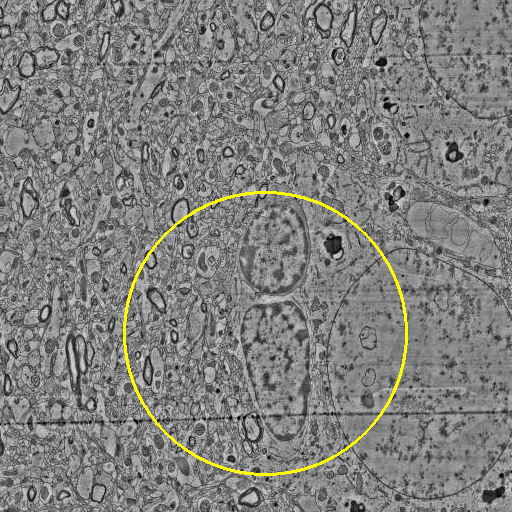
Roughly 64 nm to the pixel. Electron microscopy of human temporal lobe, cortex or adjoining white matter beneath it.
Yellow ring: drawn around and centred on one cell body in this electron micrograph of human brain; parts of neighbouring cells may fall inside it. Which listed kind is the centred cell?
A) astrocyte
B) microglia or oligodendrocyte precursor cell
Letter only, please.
B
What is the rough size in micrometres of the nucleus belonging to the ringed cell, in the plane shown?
The nucleus measures about 9 by 4 micrometres in this plane.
